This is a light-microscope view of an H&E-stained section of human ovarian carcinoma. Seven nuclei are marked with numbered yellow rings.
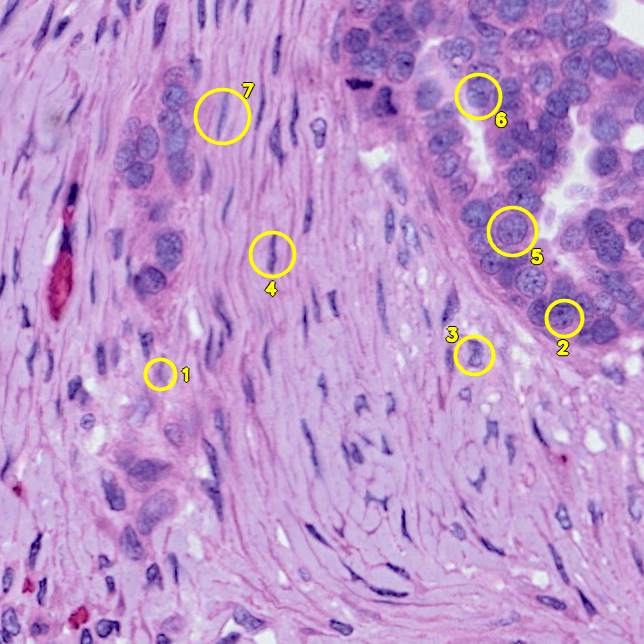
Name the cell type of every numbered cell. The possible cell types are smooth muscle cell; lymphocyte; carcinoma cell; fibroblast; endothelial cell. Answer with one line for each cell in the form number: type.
1: fibroblast
2: carcinoma cell
3: fibroblast
4: fibroblast
5: carcinoma cell
6: carcinoma cell
7: fibroblast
